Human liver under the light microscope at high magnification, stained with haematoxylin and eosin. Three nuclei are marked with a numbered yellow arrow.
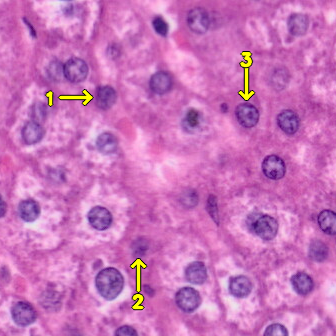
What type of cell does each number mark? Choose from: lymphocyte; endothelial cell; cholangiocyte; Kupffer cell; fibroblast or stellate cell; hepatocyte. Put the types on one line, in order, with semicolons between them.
endothelial cell; hepatocyte; hepatocyte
